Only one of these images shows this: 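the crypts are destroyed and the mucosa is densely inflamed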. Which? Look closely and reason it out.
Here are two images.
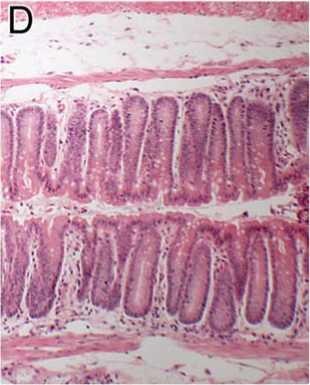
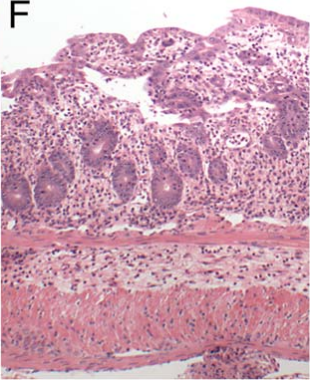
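Second image: few irregular crypts remain amid a dense cellular infiltrate. First image: regular, evenly spaced tubular crypts with sparse tissue between them.
The second image.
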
